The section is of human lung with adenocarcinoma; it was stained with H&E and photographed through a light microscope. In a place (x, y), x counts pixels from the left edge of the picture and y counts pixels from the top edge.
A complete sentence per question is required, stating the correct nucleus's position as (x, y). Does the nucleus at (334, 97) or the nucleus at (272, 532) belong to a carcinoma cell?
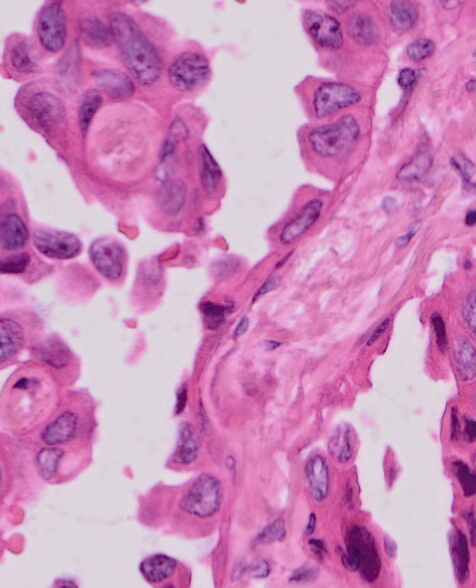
Of these two nuclei, it is the one at (334, 97) that belongs to a carcinoma cell.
